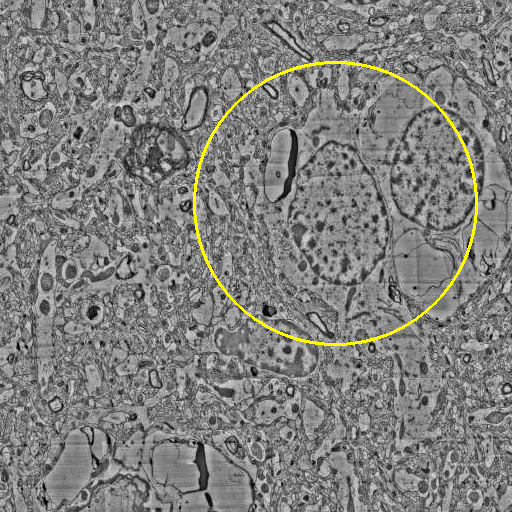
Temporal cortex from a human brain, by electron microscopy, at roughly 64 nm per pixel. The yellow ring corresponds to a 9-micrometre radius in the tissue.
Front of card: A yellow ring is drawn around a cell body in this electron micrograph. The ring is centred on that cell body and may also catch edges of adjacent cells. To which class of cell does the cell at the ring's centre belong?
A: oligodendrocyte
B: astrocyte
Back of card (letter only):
B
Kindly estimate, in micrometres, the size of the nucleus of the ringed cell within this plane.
The nucleus comes to roughly 9 by 7 micrometres in this plane.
